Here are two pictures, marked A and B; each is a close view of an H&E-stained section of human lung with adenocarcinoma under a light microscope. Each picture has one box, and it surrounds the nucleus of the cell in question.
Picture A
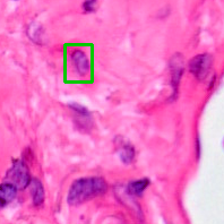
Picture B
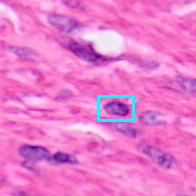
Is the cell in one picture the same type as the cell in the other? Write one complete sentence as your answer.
Yes, both are mast cells.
